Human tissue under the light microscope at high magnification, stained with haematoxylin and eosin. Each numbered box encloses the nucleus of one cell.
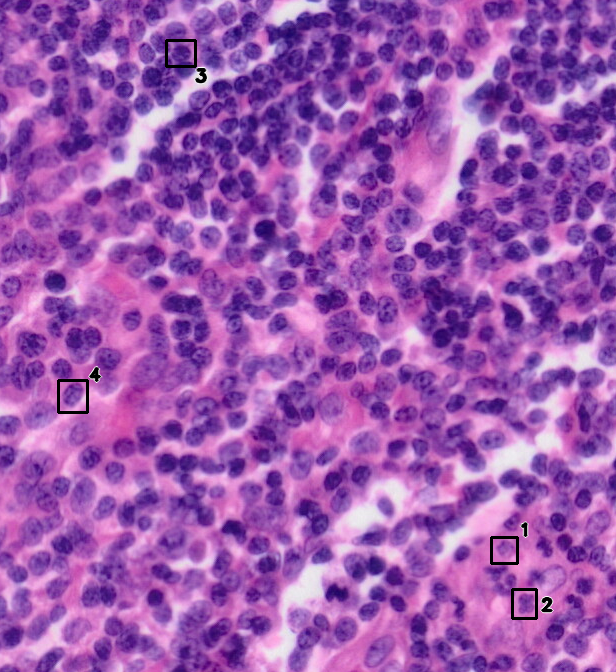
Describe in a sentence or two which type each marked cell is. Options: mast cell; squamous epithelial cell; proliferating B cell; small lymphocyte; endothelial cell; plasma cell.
Cell 1 is an endothelial cell, cell 2 is an endothelial cell, cell 3 is a small lymphocyte and cell 4 is a plasma cell.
